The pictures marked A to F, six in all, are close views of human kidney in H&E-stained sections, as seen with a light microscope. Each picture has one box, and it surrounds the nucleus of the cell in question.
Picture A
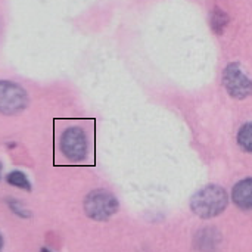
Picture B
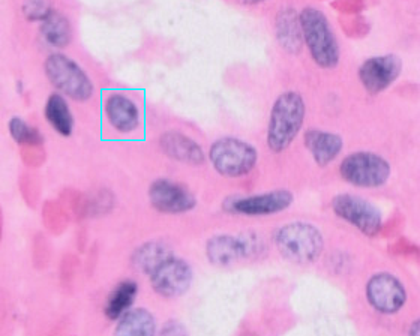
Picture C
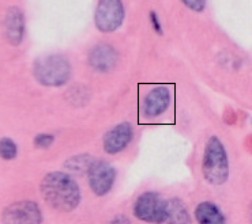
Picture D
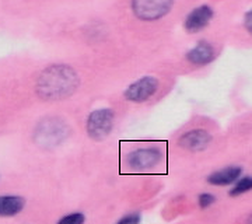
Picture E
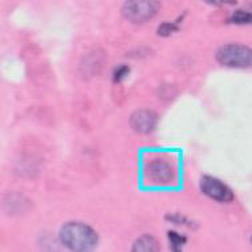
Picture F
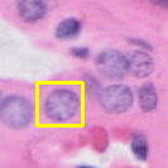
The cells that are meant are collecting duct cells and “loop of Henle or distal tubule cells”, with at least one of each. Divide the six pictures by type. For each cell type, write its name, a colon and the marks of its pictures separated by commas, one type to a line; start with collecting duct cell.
collecting duct cell: B, C, F
loop of Henle or distal tubule cell: A, D, E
